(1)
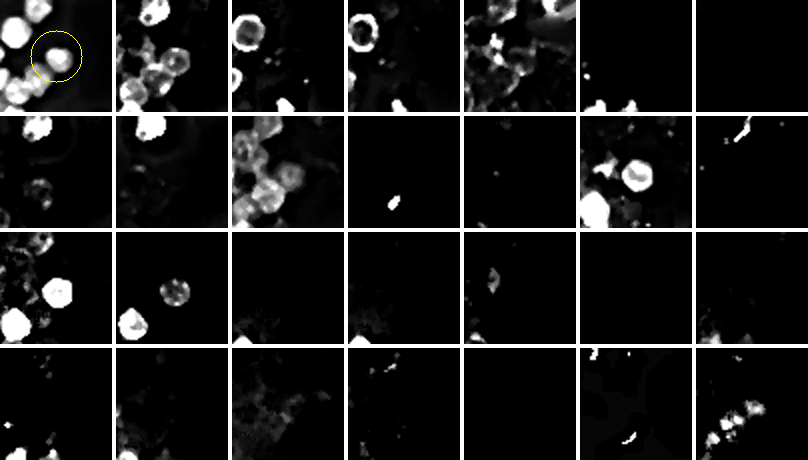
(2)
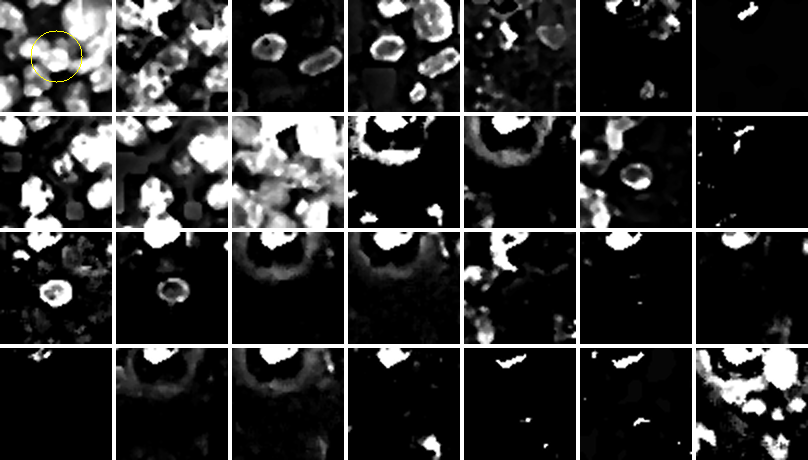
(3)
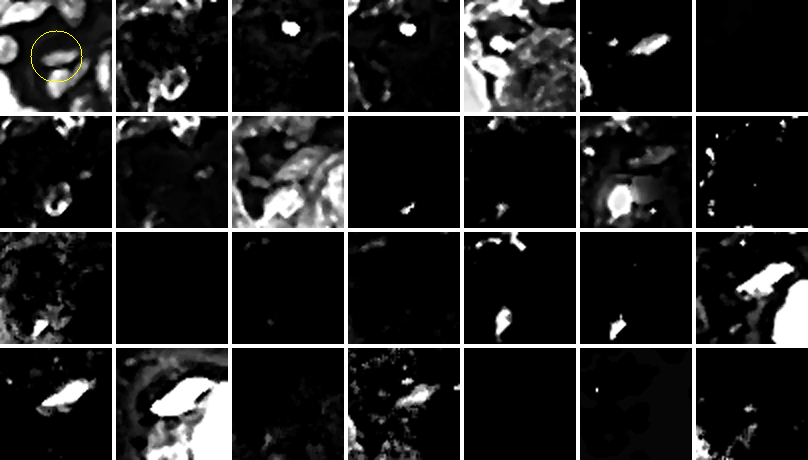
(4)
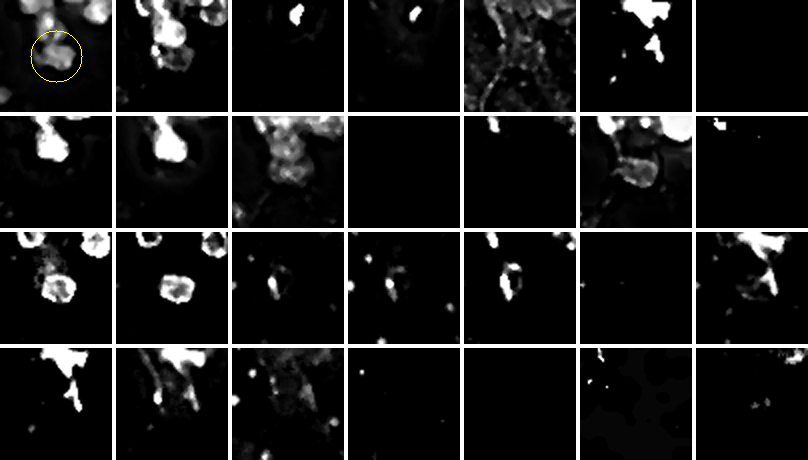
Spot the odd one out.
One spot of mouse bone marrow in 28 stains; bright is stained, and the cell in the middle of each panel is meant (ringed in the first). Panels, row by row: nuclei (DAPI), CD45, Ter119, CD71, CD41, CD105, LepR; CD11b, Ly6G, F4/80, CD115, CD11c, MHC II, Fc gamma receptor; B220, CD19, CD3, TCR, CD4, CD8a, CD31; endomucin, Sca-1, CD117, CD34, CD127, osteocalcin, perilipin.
Picture 3 (a capillary endothelial cell among B cells).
